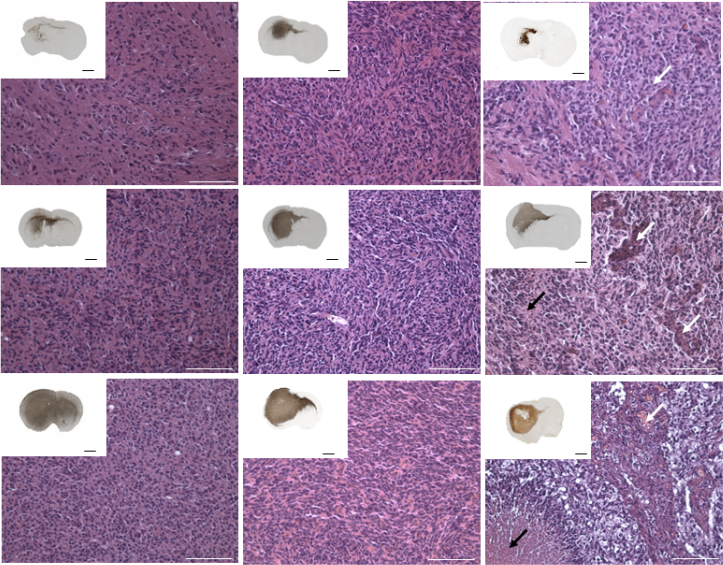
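Most fields show densely packed tumour cells with elongated, dark purple nuclei set in a pink background, often in streaming, spindle-like arrays. The fields in the right-hand column look more disordered: there are reddish clusters that the white arrows point to, and pale, cell-poor zones edged by crowded dark nuclei marked by black arrows. The small inserts show whole coronal brain slices with a brown-stained tumour mass, which ranges from diffuse and widespread to compact and sharply bounded.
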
